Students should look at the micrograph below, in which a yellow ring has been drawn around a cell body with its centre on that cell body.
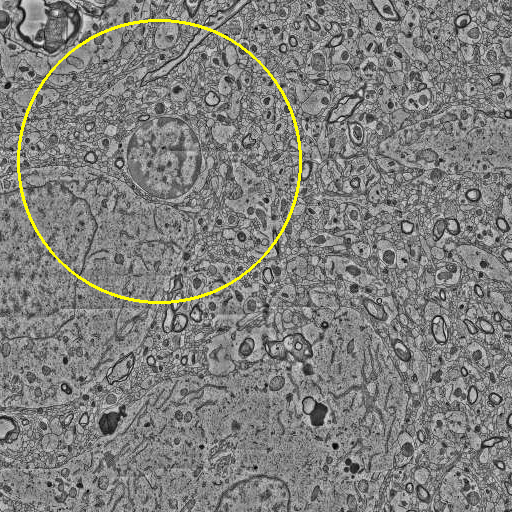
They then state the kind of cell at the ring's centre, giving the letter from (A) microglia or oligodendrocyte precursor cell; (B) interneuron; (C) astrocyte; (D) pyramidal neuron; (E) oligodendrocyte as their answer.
A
